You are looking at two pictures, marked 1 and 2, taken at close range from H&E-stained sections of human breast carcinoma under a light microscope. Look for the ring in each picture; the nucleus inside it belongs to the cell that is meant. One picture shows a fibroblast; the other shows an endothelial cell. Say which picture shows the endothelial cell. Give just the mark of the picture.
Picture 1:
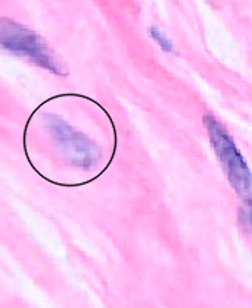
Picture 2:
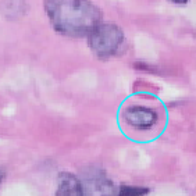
2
